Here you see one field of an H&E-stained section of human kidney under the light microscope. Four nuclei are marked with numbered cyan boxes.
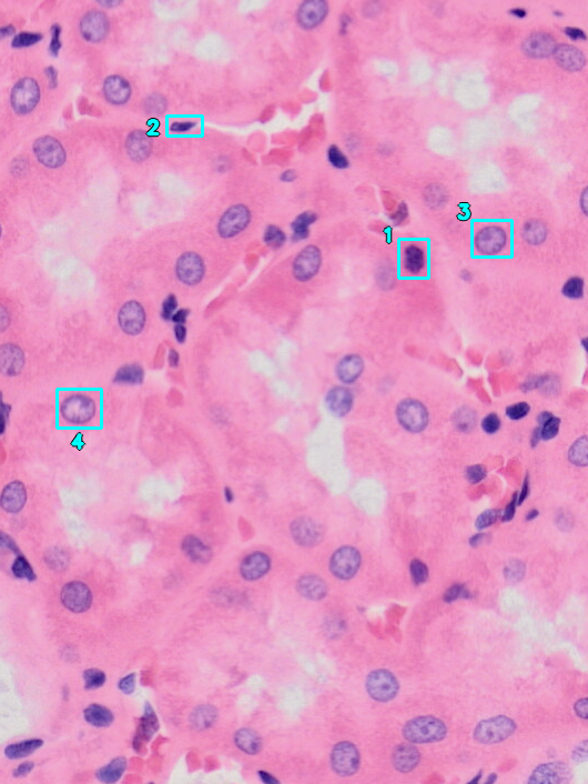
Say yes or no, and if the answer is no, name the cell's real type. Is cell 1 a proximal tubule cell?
Yes.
